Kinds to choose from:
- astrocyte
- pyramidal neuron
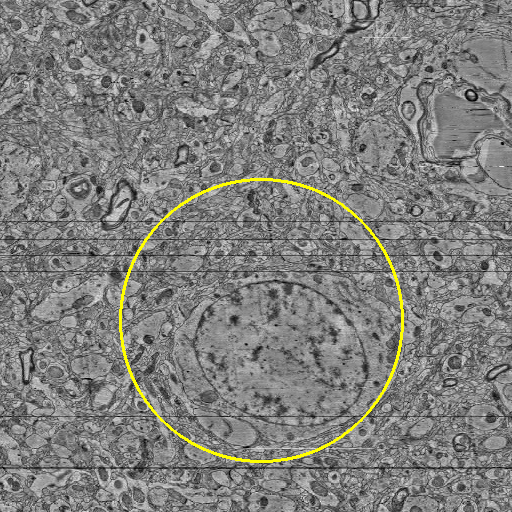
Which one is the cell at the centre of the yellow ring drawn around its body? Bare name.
pyramidal neuron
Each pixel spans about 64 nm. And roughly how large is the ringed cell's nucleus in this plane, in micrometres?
In this plane the nucleus is about 11 micrometres by 9.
